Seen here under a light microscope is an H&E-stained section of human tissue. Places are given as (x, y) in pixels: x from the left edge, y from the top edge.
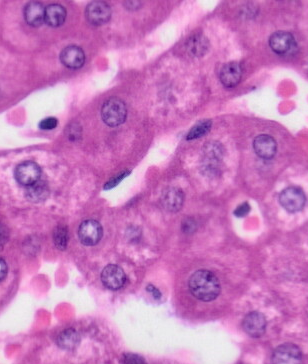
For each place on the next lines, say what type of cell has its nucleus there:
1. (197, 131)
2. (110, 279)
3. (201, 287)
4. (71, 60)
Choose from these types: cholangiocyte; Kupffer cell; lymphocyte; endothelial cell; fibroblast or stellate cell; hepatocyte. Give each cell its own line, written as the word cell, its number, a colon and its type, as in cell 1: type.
cell 1: fibroblast or stellate cell
cell 2: hepatocyte
cell 3: hepatocyte
cell 4: hepatocyte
